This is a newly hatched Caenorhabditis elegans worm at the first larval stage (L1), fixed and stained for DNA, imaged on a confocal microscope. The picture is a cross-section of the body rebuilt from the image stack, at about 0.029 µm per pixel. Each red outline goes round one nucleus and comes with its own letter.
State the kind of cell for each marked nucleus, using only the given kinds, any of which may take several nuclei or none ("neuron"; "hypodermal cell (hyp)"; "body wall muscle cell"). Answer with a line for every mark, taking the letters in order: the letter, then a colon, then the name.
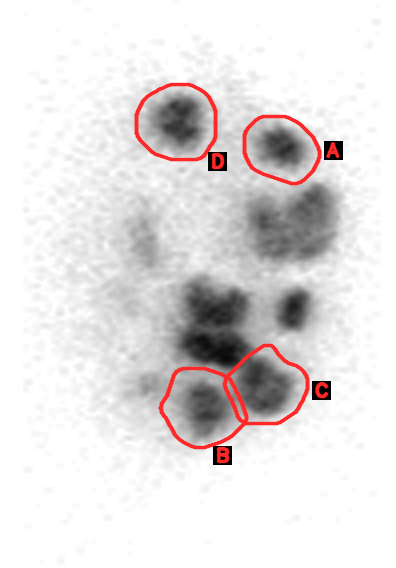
A: body wall muscle cell
B: neuron
C: body wall muscle cell
D: body wall muscle cell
